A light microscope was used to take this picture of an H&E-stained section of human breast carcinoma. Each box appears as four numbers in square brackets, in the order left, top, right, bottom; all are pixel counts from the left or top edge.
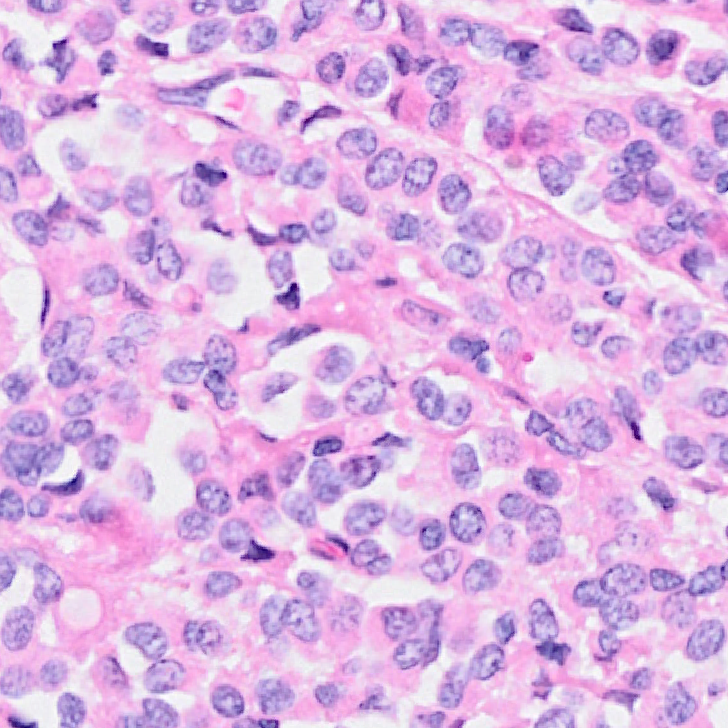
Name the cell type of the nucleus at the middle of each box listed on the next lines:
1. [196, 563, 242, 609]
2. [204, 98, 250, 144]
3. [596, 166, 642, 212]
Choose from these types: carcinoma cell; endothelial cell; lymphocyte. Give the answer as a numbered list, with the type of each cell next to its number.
1. carcinoma cell
2. endothelial cell
3. carcinoma cell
